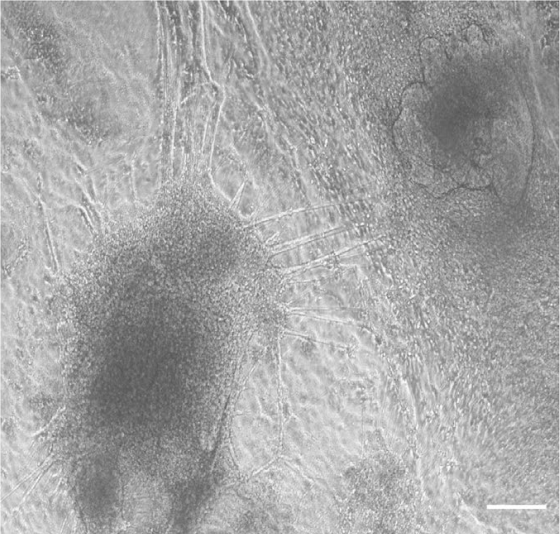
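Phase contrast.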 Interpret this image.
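The culture shows large dark, densely packed cell aggregates resting on a flatter layer of cells. Long tubular fibres radiate out from the edges of the largest aggregate like spokes, some running far across the field. Another rounded cluster with a clear rim lies at the upper right.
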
